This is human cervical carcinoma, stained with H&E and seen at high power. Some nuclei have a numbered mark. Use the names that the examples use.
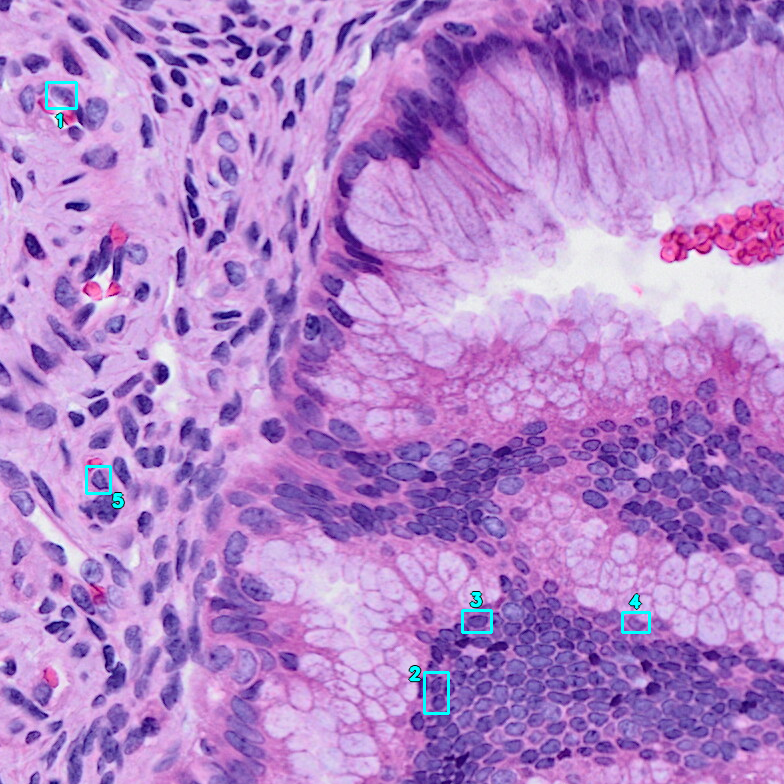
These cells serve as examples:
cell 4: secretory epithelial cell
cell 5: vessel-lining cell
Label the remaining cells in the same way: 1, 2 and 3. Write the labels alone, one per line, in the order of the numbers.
vessel-lining cell
secretory epithelial cell
secretory epithelial cell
